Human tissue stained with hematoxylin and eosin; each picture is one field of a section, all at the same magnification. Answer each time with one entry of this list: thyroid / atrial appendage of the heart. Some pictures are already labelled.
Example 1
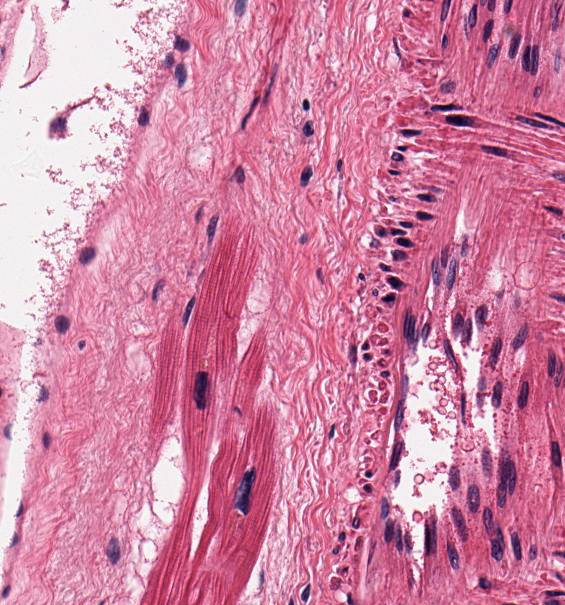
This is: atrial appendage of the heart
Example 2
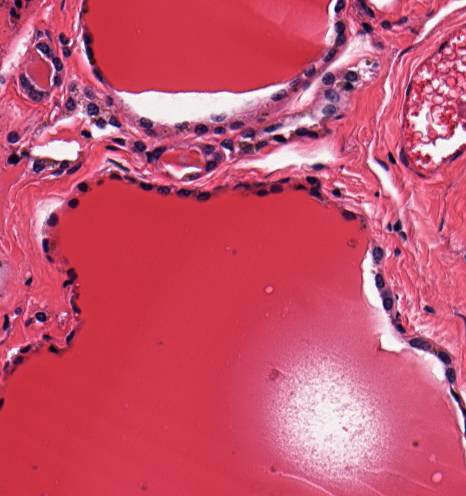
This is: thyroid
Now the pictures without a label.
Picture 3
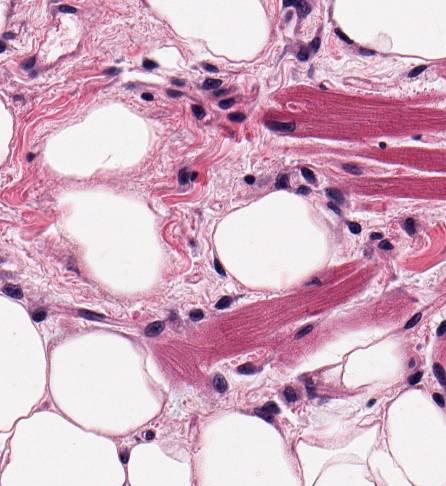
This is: atrial appendage of the heart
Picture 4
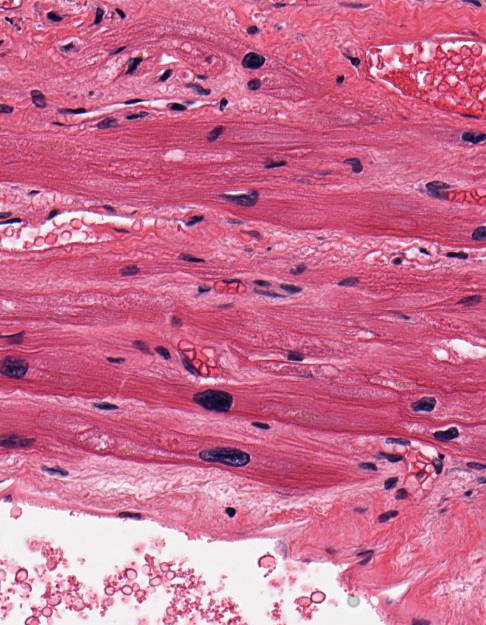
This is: atrial appendage of the heart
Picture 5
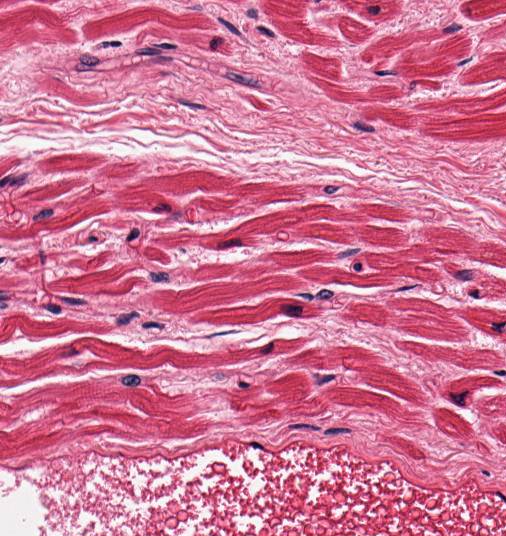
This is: atrial appendage of the heart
